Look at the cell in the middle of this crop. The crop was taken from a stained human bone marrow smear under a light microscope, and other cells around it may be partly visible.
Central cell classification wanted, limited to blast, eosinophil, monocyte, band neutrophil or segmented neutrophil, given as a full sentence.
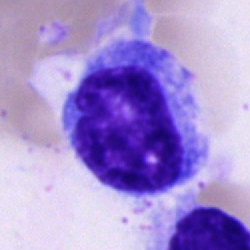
Of the cells in this crop, the central one is a monocyte.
